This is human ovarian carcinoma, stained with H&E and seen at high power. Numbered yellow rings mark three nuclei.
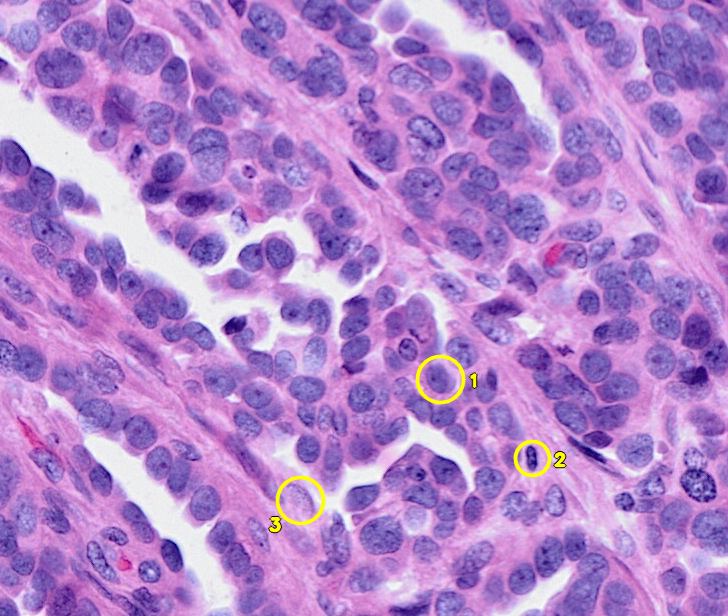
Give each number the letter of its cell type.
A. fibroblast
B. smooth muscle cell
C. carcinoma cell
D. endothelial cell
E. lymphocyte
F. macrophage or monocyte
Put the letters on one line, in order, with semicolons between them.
C; E; A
